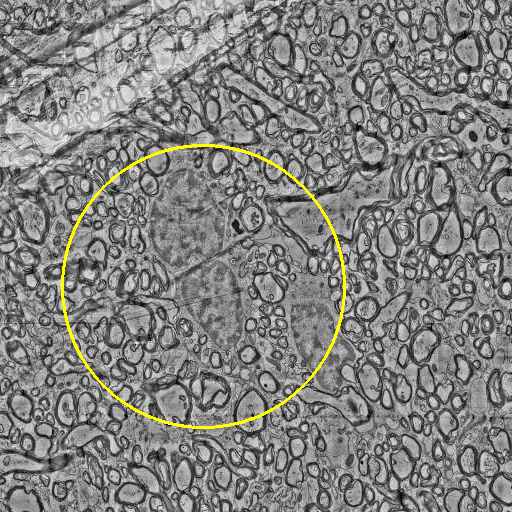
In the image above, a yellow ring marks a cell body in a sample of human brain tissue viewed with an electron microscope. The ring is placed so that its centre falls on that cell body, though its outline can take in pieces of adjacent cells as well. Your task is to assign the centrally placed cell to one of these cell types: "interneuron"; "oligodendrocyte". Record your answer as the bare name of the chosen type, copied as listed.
oligodendrocyte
